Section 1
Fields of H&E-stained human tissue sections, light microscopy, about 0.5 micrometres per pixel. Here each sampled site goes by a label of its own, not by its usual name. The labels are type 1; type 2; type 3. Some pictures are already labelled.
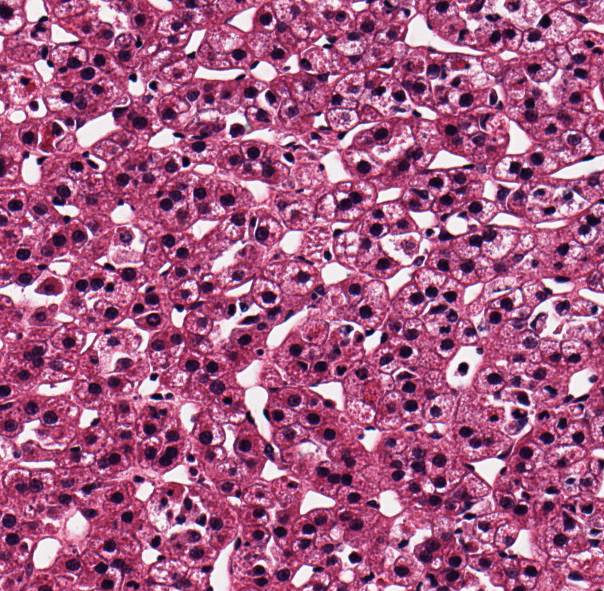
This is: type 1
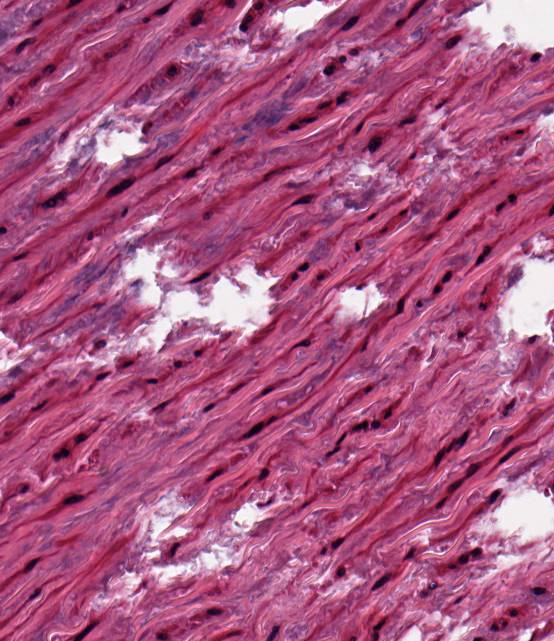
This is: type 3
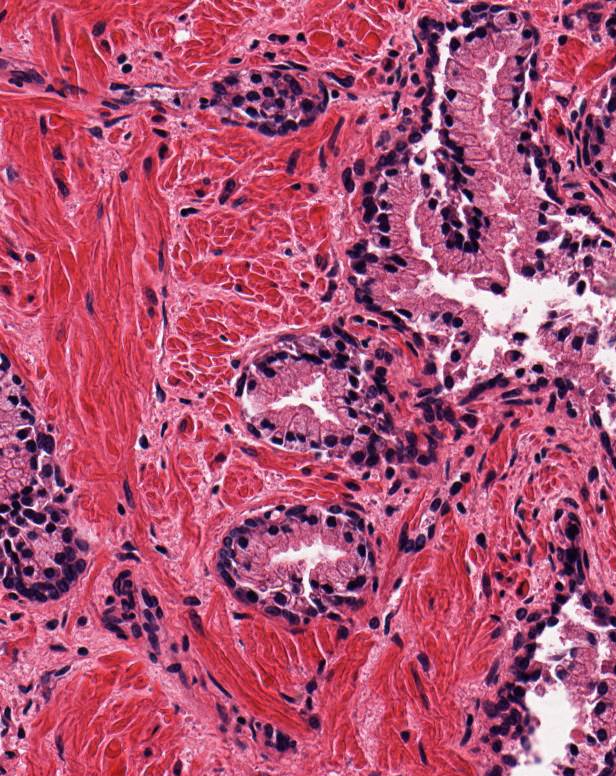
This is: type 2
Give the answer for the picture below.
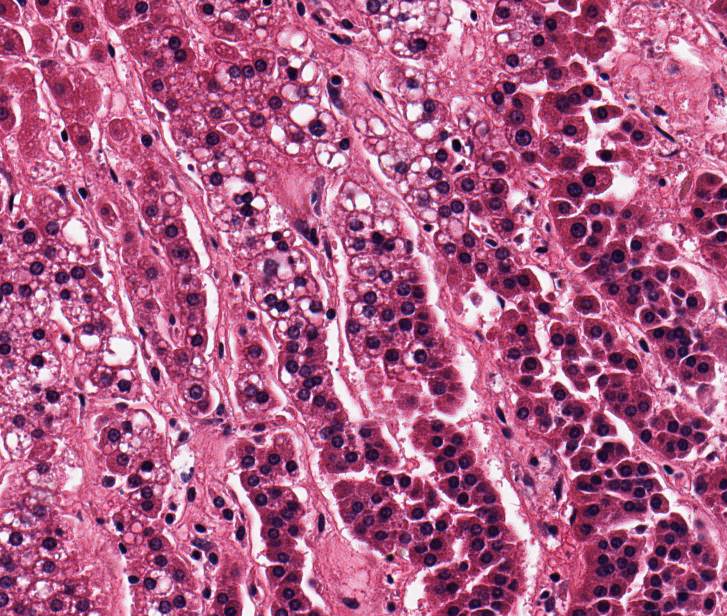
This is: type 1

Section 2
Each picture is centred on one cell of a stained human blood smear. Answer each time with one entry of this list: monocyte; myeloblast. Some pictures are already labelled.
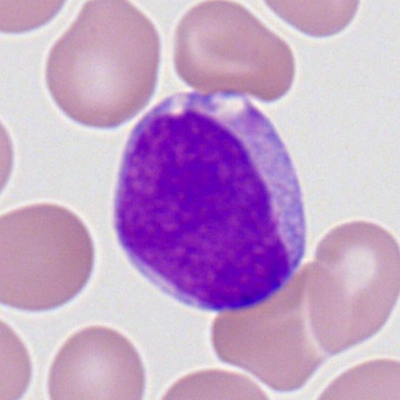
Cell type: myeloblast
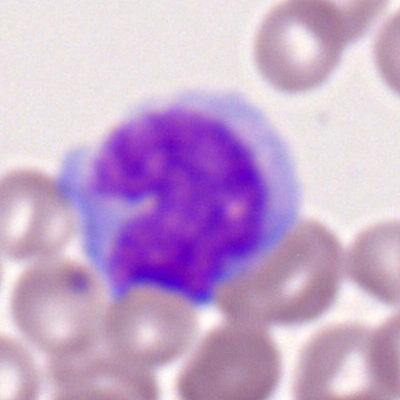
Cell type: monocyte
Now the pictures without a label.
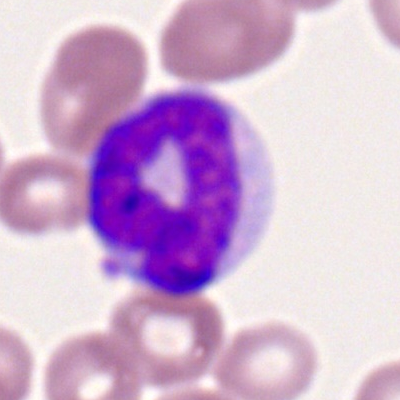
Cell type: monocyte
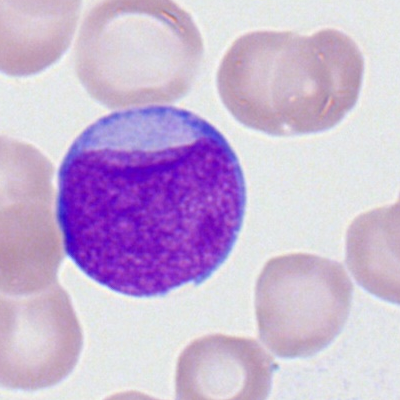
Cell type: myeloblast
